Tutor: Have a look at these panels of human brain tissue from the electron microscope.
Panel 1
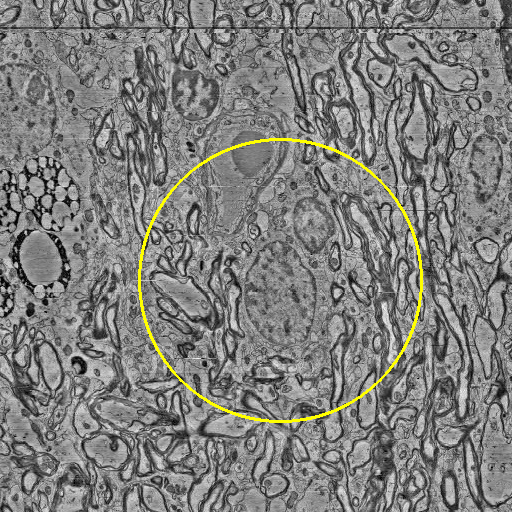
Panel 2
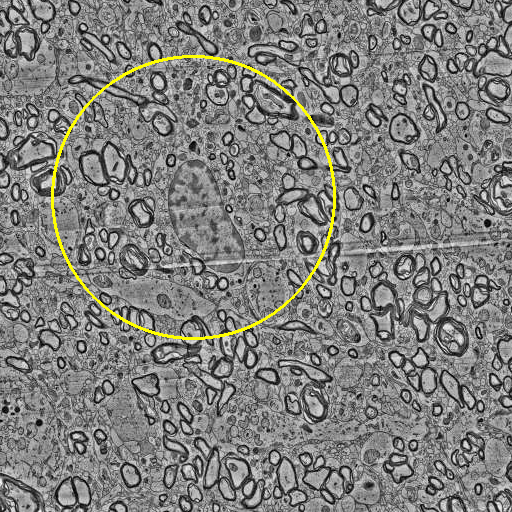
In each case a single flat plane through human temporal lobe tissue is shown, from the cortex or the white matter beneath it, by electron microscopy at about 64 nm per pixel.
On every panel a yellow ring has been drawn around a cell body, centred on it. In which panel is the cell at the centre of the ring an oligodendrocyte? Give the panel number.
1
